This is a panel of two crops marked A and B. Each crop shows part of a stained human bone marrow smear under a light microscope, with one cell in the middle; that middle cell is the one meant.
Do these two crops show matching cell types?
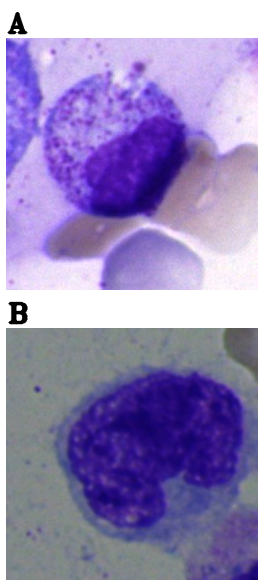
no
